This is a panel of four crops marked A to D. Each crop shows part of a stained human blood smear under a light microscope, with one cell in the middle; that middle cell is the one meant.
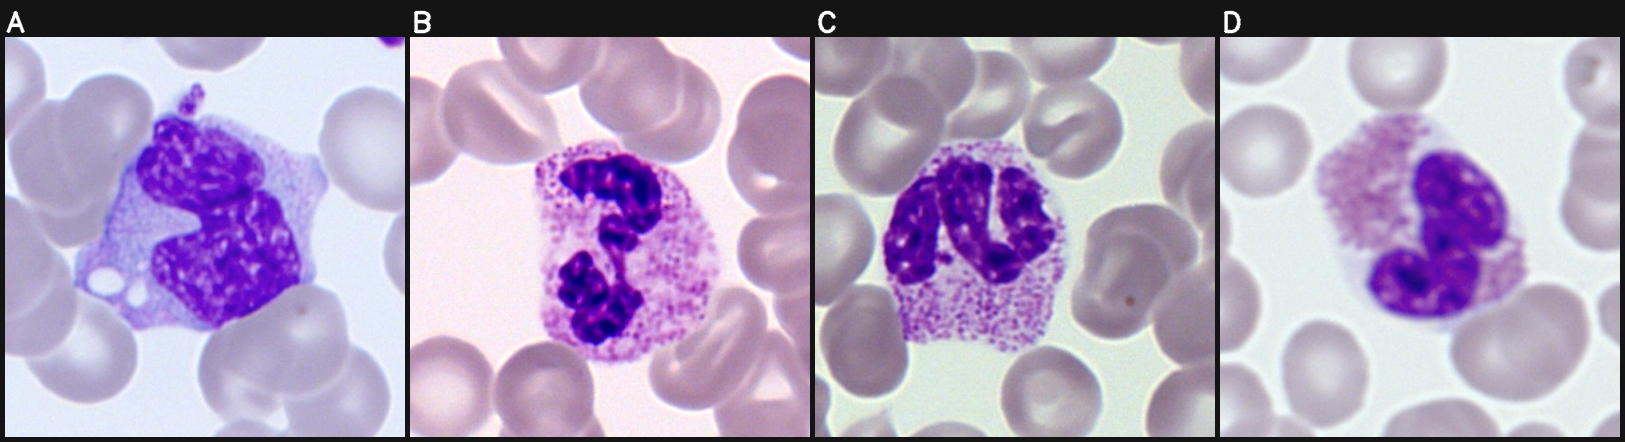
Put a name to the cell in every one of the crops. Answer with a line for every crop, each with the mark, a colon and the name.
A: monocyte
B: segmented neutrophil
C: segmented neutrophil
D: eosinophil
